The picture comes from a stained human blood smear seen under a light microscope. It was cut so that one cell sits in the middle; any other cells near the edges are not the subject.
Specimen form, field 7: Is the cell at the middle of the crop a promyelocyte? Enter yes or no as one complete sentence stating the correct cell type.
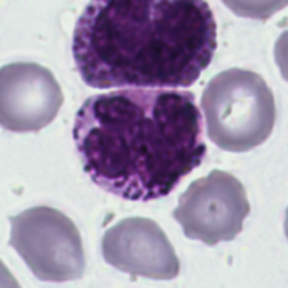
No, the central cell should be identified as a basophil, not as a promyelocyte.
